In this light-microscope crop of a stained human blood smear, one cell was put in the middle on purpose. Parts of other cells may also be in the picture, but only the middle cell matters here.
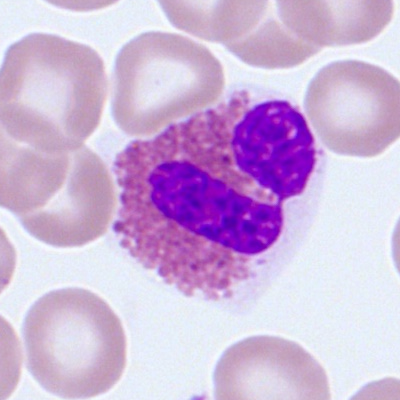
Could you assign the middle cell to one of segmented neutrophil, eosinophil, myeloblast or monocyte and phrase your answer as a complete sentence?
The cell in the exact centre of the crop is an eosinophil.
